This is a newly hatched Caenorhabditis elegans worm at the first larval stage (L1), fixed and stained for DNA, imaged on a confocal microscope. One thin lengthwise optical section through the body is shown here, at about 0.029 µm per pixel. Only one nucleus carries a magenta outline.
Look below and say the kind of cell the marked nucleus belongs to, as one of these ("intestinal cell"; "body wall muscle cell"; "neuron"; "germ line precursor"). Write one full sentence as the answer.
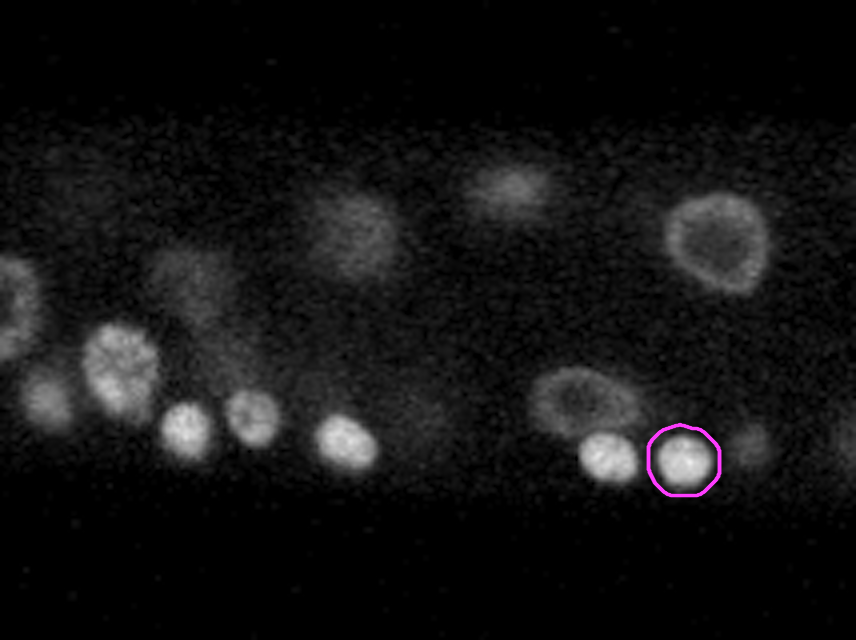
It is the nucleus of a neuron.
